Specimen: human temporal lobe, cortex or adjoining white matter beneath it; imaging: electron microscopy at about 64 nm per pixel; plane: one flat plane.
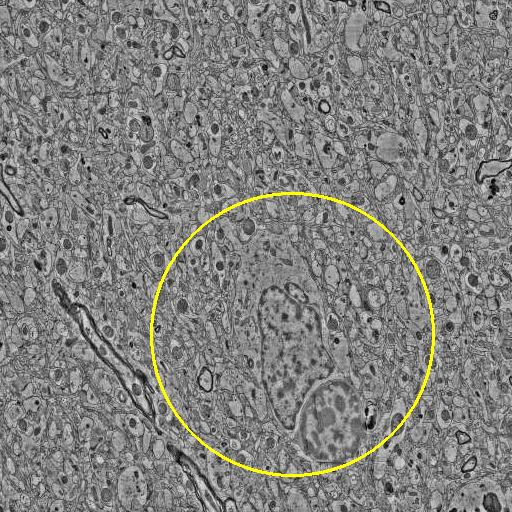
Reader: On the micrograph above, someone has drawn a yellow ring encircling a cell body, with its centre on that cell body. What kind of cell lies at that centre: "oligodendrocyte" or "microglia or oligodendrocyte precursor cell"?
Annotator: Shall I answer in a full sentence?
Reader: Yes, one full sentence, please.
Here a microglial cell or oligodendrocyte precursor cell sits at the centre of the yellow ring drawn on the micrograph.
